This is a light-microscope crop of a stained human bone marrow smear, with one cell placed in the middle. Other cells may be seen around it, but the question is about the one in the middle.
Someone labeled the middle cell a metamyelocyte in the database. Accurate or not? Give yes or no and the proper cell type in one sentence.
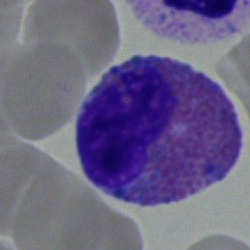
No, the centered cell is an eosinophil and not a metamyelocyte at all.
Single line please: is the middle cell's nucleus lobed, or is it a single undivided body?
See how the nucleus sits as one compact round, oval or kidney-shaped mass.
